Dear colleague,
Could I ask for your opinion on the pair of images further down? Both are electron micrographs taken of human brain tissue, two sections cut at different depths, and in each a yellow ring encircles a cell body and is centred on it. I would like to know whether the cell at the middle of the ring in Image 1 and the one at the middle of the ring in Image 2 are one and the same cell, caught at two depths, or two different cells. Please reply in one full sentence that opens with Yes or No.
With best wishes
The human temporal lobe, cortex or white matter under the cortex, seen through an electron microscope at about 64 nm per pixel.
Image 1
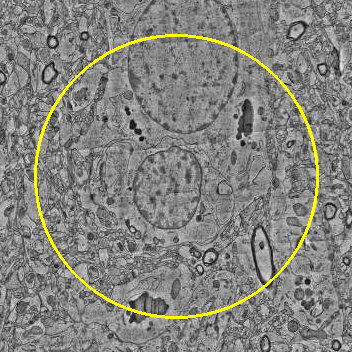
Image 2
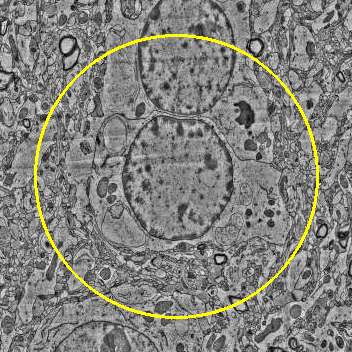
Yes, a single cell is marked twice, once by each yellow ring.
